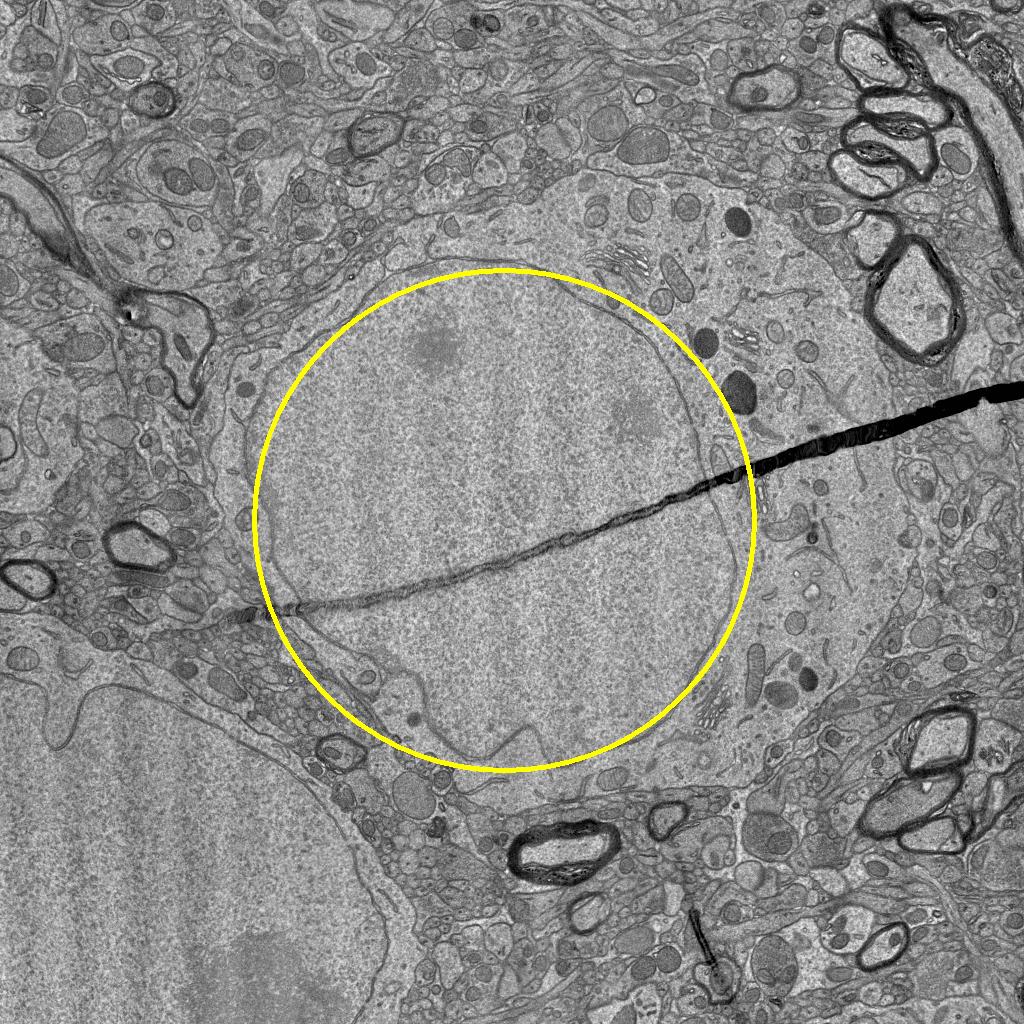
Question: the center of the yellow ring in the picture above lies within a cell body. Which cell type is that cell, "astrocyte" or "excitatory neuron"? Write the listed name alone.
excitatory neuron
